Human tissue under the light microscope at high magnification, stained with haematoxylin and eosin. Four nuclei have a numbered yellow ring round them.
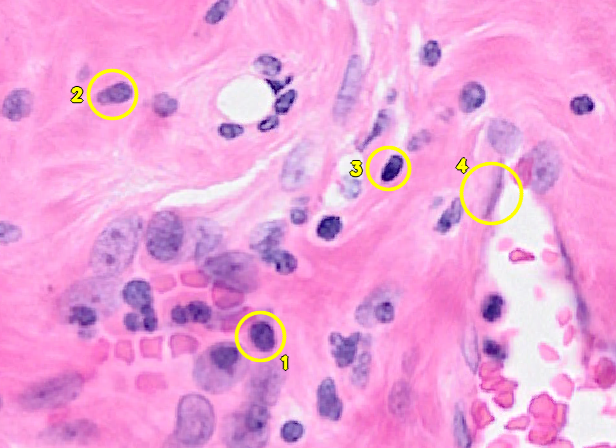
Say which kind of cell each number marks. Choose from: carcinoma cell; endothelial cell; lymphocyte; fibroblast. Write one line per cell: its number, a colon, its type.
1: lymphocyte
2: lymphocyte
3: lymphocyte
4: endothelial cell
